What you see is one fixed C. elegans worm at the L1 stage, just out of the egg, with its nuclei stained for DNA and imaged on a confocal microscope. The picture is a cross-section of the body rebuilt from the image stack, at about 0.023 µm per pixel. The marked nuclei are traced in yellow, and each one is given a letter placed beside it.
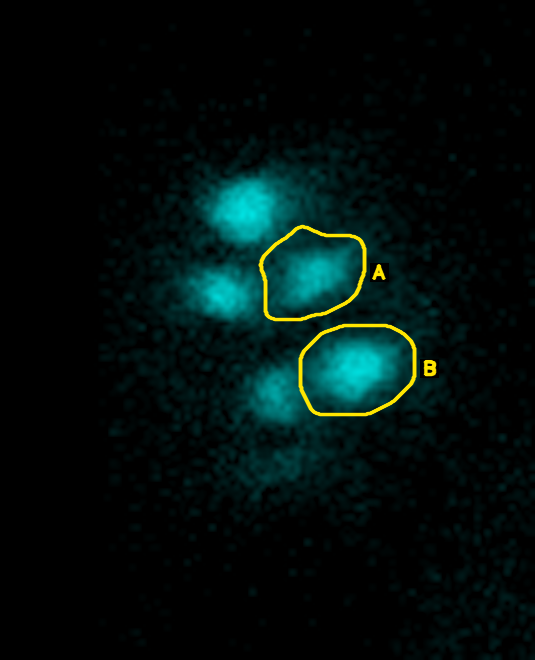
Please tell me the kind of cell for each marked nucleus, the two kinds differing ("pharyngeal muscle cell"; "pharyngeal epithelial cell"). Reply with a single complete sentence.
A is from a pharyngeal epithelial cell, and B is from a pharyngeal muscle cell.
